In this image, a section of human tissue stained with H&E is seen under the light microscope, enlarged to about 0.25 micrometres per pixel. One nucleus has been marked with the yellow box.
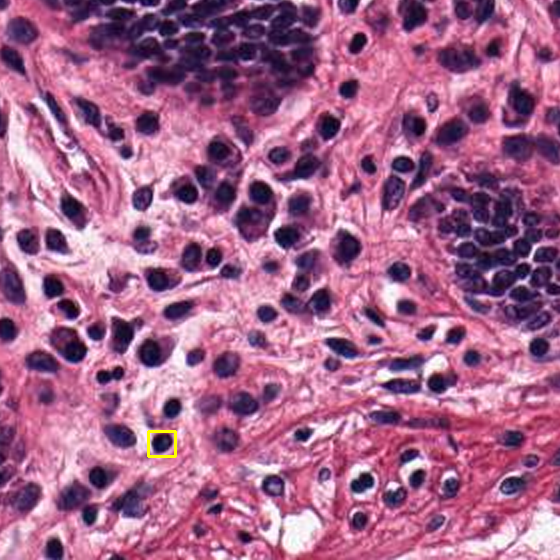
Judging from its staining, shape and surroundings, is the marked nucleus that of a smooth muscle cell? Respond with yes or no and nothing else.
no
